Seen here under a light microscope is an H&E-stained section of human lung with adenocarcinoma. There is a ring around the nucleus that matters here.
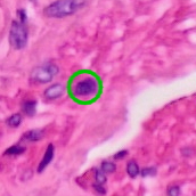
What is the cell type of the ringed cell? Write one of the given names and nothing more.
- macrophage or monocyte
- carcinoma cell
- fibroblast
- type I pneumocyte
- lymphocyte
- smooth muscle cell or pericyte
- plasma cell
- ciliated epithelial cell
smooth muscle cell or pericyte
